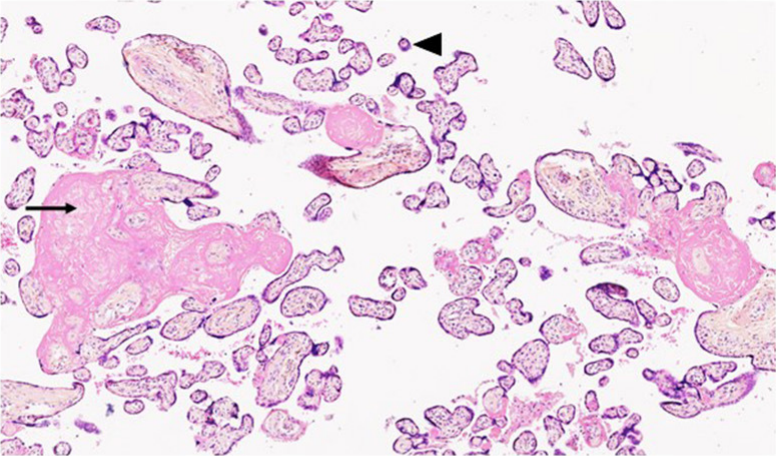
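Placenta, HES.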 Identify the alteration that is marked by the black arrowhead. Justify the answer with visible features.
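Distal villous hypoplasia. The arrowhead points to a very small, slender villus. Many villi in the field are small and widely spaced.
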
